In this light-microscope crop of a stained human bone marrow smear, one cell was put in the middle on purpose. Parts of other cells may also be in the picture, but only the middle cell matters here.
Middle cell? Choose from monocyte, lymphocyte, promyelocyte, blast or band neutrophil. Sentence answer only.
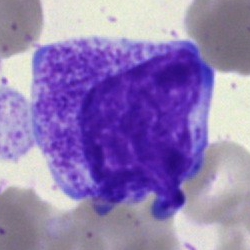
On this slide crop, the central cell is a promyelocyte.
